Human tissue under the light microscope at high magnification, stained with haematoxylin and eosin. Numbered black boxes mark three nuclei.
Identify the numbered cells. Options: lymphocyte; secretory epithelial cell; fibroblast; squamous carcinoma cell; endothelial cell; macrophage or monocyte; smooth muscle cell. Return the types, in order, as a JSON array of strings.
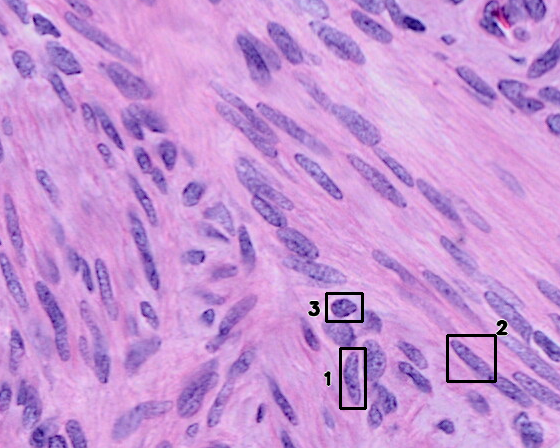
["smooth muscle cell", "smooth muscle cell", "lymphocyte"]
